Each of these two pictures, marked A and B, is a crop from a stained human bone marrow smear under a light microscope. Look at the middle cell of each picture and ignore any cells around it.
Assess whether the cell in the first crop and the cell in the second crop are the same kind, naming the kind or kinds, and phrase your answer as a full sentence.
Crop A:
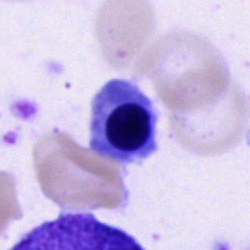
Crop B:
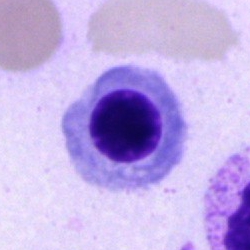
Yes, both crops have erythroblasts at the centre.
